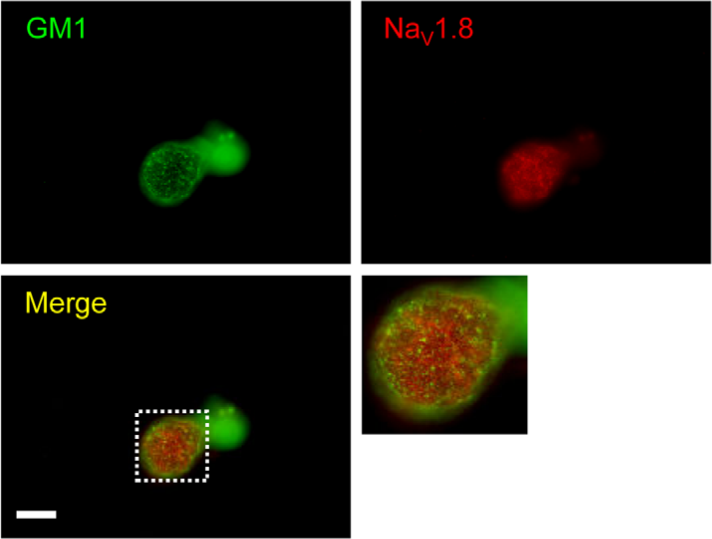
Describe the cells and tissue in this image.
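Here we look at the round cell body of a small cultured sensory neuron. In green its surface is covered with fine dots, and a brighter, smoothly stained bulge sits against one side of it. In red the cell body shows a diffuse, granular label spread over the whole round profile. In the merged view and its enlargement the green dots and the red granules lie intermingled over the cell body, with most dots staying green or red rather than turning clearly yellow.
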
